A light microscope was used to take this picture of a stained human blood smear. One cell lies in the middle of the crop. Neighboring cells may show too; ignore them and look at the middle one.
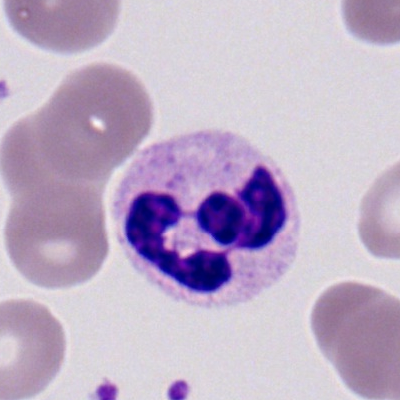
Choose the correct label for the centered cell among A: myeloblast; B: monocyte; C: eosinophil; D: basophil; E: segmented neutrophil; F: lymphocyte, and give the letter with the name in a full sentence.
That cell in the center is a segmented neutrophil, hence option E.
